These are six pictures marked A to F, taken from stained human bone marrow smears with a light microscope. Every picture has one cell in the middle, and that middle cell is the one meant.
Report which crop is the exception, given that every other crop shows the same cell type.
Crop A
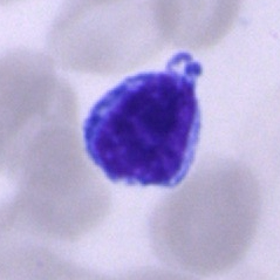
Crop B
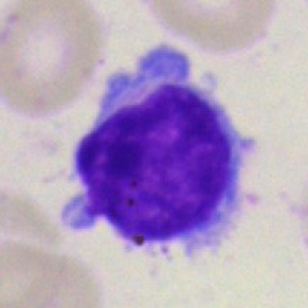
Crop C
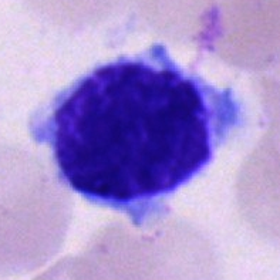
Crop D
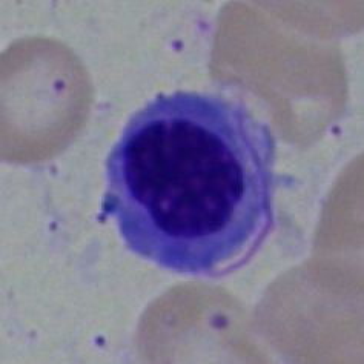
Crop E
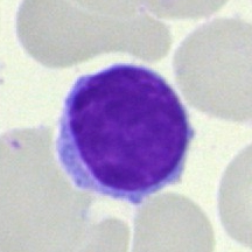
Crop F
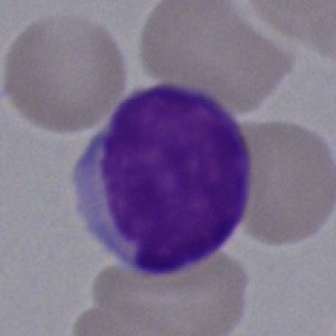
D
